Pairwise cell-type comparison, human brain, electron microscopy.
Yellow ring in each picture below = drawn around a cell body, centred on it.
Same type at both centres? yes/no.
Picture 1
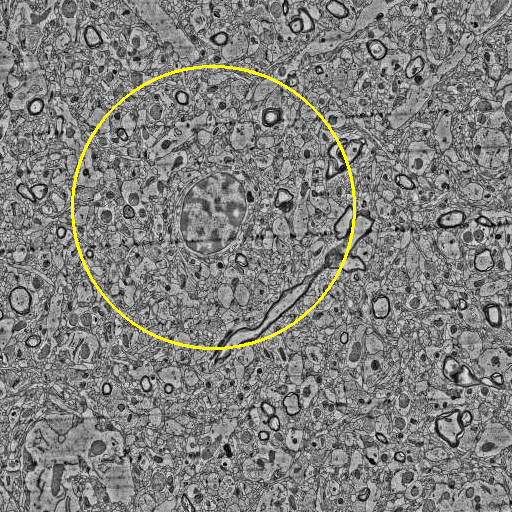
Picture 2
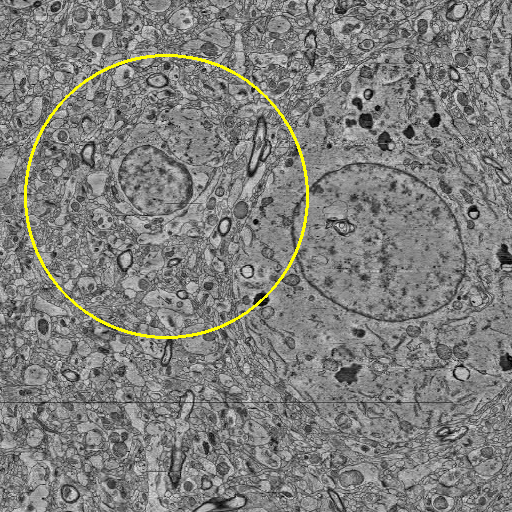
yes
